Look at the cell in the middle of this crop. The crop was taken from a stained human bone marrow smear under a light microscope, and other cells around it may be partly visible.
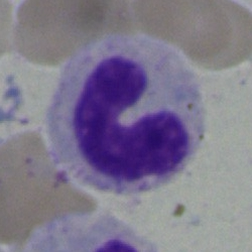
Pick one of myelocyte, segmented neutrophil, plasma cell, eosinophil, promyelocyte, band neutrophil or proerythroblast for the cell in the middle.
band neutrophil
